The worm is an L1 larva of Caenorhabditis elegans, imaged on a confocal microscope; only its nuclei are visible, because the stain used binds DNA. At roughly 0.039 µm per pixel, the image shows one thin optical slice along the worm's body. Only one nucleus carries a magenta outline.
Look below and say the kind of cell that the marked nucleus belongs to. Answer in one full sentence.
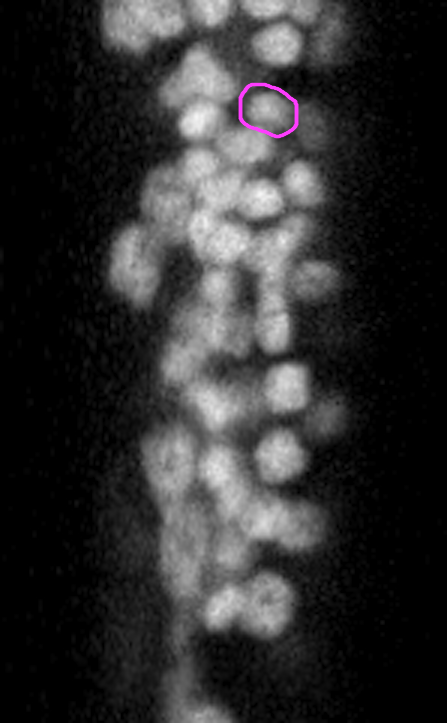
The marked nucleus belongs to a neuron.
